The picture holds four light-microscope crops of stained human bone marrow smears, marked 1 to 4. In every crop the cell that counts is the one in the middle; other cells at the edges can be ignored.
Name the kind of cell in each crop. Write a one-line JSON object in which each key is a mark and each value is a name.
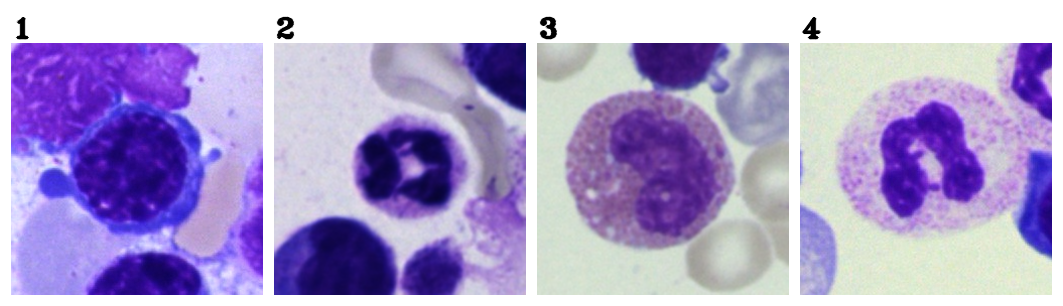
{"1": "normoblast", "2": "neutrophil", "3": "eosinophil", "4": "neutrophil"}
